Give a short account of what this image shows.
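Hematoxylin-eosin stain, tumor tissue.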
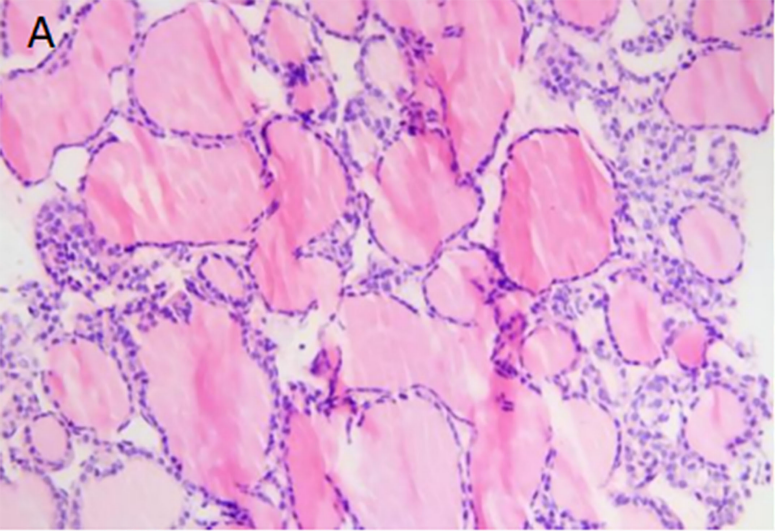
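This is tissue built of thyroid follicles of many different sizes. Each follicle is a rounded space filled with smooth, homogeneous pink colloid, which here shows some streaks and cracks from sectioning. The follicles are lined by a single layer of low, flattened to cuboidal cells with small, dark, evenly stained nuclei, which look well differentiated. Between the larger follicles lie clusters of smaller follicles and cells with a little pale stroma. The nuclei are small and uniform, without clearing or grooves, and no papillary fronds or small round calcified bodies are seen.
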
